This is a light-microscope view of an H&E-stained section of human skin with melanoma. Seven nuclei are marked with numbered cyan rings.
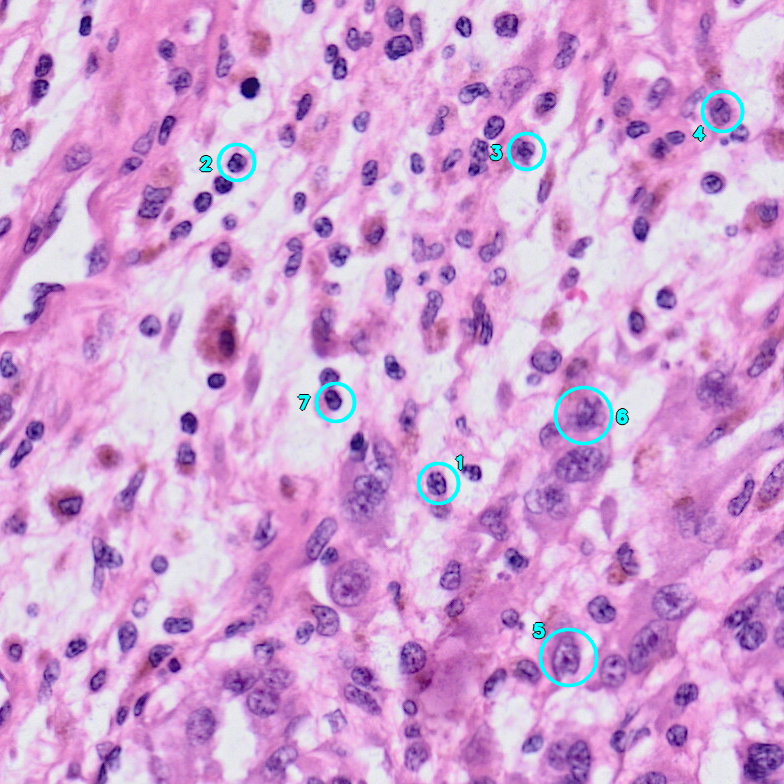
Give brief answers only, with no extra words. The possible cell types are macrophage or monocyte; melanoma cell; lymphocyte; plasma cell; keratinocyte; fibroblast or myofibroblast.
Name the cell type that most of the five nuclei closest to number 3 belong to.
lymphocyte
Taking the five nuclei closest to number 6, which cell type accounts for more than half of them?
macrophage or monocyte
